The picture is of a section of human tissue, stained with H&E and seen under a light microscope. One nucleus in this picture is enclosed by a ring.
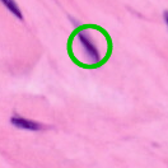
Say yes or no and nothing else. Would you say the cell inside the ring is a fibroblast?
yes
